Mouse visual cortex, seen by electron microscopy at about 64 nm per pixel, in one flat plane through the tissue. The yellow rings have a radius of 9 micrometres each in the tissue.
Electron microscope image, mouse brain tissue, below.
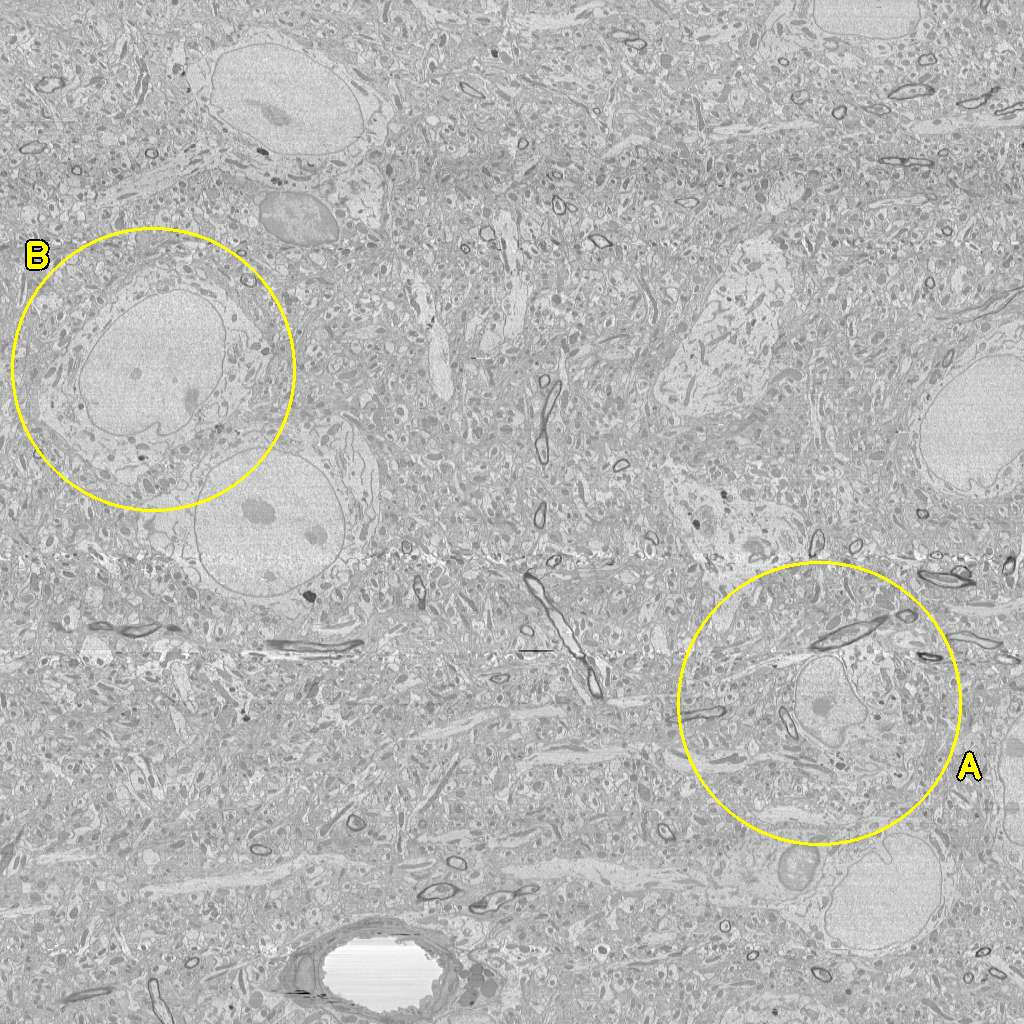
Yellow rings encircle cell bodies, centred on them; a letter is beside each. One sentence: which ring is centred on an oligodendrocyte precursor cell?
It is ring A.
